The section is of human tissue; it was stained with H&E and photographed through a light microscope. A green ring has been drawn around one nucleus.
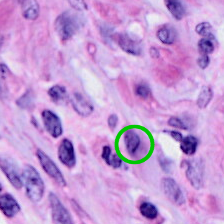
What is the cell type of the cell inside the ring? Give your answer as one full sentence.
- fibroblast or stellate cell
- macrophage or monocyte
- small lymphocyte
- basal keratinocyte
Within the stained tissue, the cell inside the ring is a macrophage or monocyte.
